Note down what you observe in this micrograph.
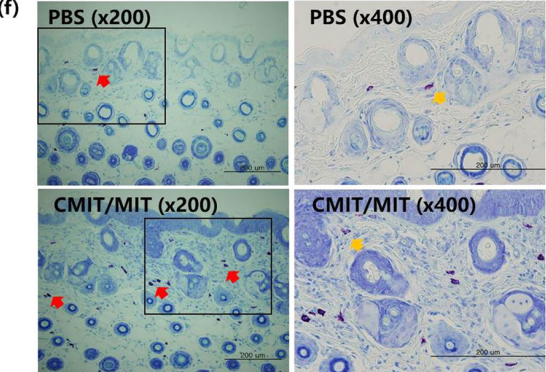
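This is skin stained with a blue dye, so most tissue is pale to mid blue. Many hair follicles are cut across, showing as round rings of blue epithelial cells, some with a dark blue core. Between them lies the dermis, a pale connective tissue. At the top of the lower images the surface epithelium forms a deeper blue band. The lower images hold more of the purple cells than the upper ones.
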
